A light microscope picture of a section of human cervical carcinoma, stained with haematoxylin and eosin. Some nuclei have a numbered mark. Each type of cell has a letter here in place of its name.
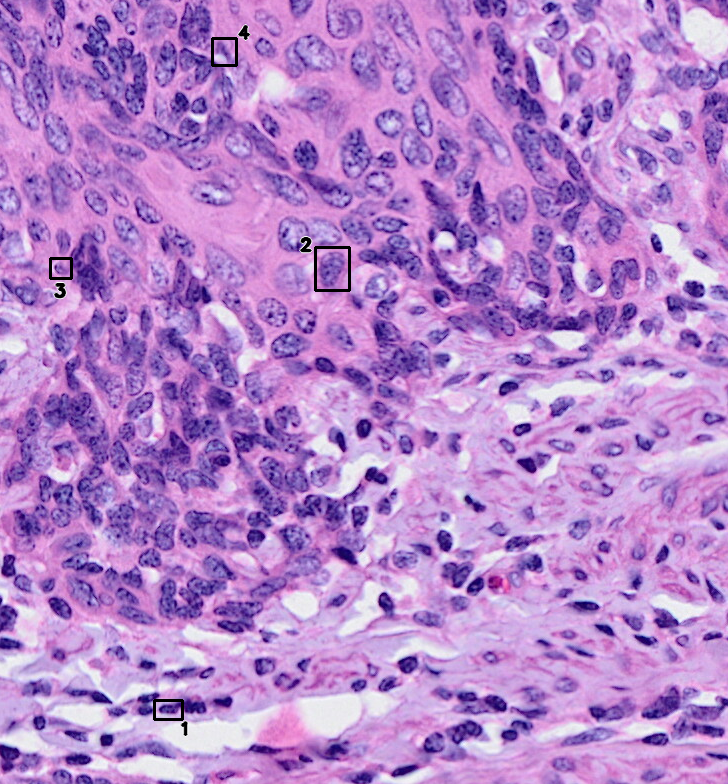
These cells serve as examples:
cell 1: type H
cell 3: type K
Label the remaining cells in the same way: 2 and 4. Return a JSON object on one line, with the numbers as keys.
{"2": "type K", "4": "type K"}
